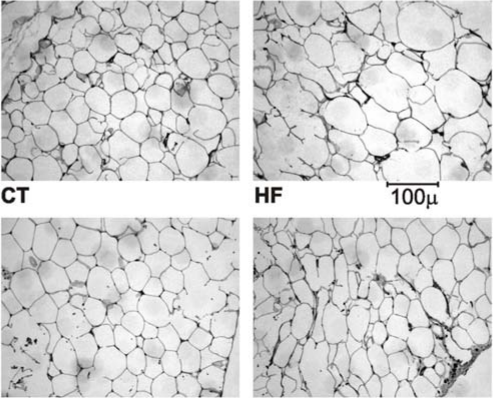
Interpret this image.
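These are sections of adipose tissue made up almost entirely of adipocytes packed tightly together. The cells are polygonal where they press against their neighbours, giving a honeycomb-like mesh. Nuclei are scarce and flattened at the cell margins, and there is little stroma between the cells. In one of the four fields the cells are visibly larger and more variable in size than in the others.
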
